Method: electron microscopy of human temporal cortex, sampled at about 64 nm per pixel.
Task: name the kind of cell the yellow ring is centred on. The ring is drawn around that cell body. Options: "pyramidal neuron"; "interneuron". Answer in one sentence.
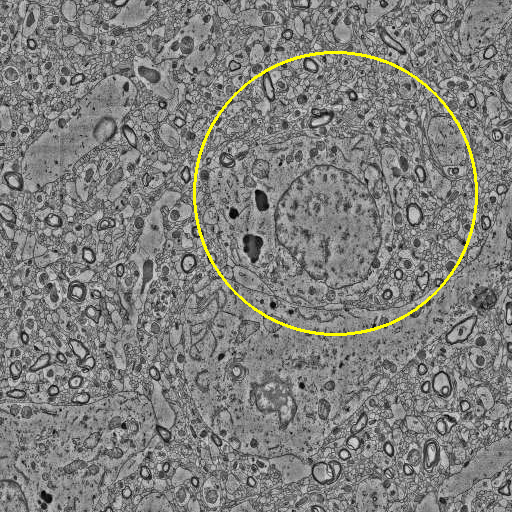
This cell body belongs to a pyramidal neuron.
